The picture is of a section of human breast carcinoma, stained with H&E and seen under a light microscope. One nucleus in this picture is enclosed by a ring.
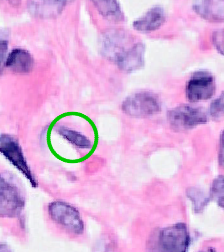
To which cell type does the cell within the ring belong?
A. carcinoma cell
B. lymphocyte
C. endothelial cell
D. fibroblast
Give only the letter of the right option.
C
